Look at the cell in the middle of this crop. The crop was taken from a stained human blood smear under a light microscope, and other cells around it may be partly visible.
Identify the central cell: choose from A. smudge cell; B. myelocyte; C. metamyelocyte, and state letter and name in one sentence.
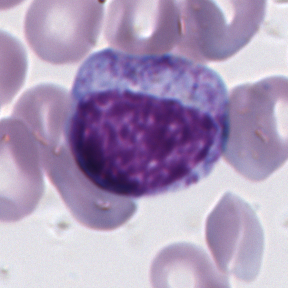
Option B gets it right: the cell in the middle is a myelocyte.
